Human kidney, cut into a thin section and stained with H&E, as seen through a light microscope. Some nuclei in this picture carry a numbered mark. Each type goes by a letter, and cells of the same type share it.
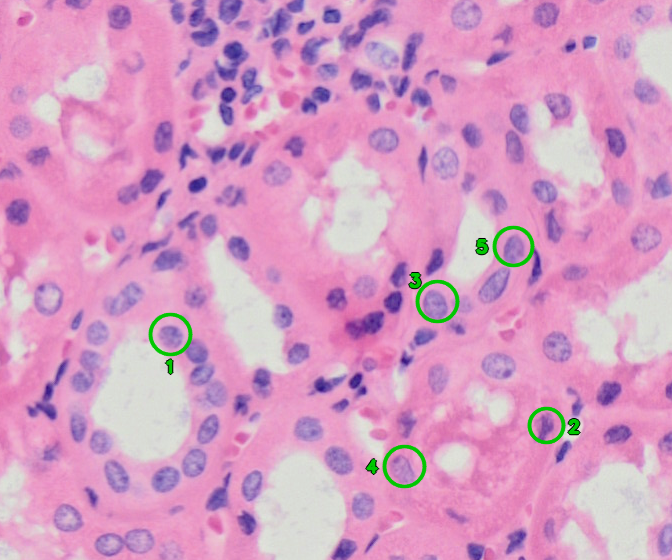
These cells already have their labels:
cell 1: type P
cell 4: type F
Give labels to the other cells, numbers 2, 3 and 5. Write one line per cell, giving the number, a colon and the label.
2: type F
3: type P
5: type P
